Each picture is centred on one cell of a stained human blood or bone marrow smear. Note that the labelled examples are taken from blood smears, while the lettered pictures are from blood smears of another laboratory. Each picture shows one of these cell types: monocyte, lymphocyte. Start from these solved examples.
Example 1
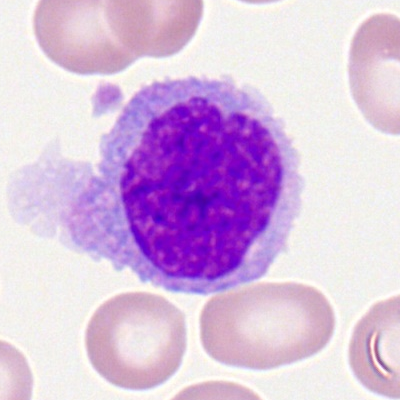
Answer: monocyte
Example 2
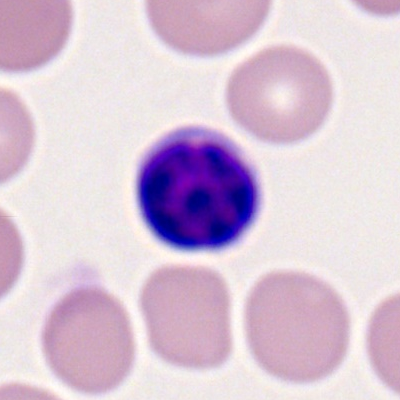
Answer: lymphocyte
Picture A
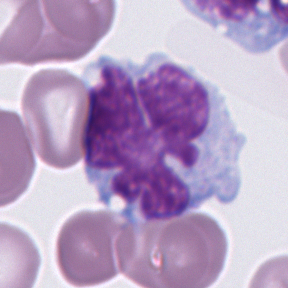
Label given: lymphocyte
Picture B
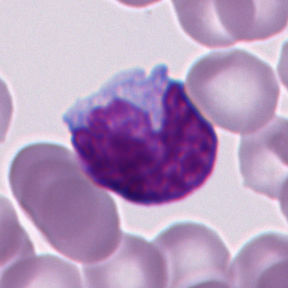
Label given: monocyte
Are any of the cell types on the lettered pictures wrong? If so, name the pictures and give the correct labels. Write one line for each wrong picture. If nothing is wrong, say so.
A is labelled lymphocyte; correct label: monocyte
